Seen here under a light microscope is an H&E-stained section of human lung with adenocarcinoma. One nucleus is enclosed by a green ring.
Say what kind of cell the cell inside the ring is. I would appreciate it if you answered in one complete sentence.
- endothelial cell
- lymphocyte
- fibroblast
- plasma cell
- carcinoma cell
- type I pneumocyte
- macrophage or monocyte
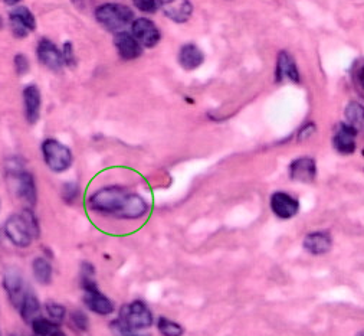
Speaking plainly, the cell inside the ring is nothing other than an endothelial cell.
